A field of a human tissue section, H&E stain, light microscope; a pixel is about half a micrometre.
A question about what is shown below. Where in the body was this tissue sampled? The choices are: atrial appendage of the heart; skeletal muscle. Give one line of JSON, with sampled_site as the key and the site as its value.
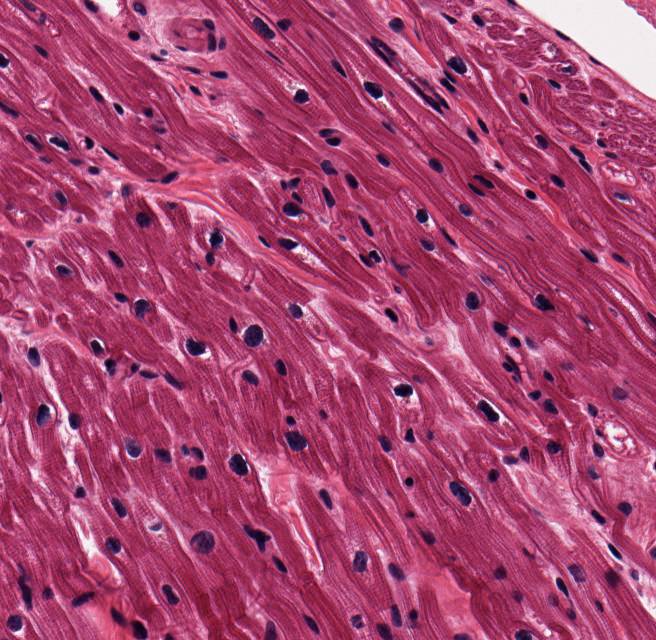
{"sampled_site": "atrial appendage of the heart"}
